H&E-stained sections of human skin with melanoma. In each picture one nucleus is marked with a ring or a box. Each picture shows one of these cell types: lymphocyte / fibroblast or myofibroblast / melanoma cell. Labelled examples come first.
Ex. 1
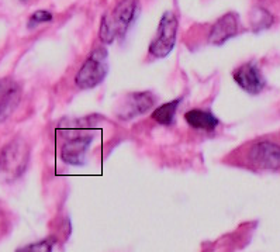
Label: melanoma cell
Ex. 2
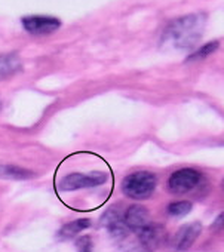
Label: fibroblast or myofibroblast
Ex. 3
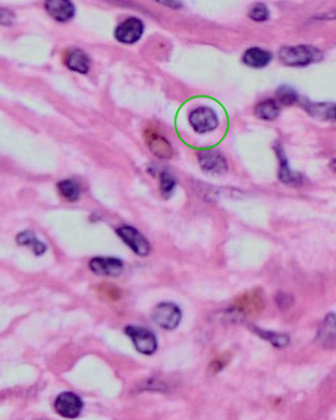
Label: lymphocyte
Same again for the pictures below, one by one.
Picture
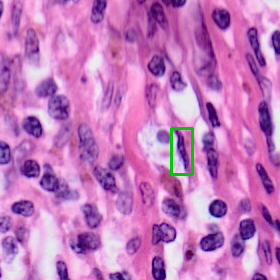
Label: fibroblast or myofibroblast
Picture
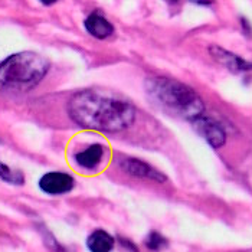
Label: lymphocyte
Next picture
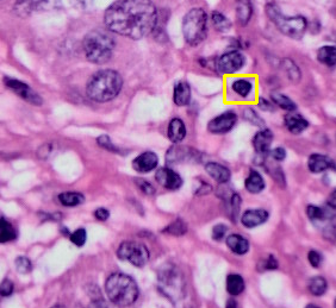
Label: lymphocyte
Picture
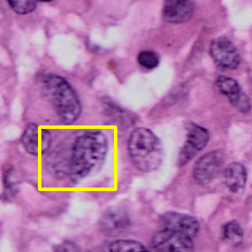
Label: melanoma cell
